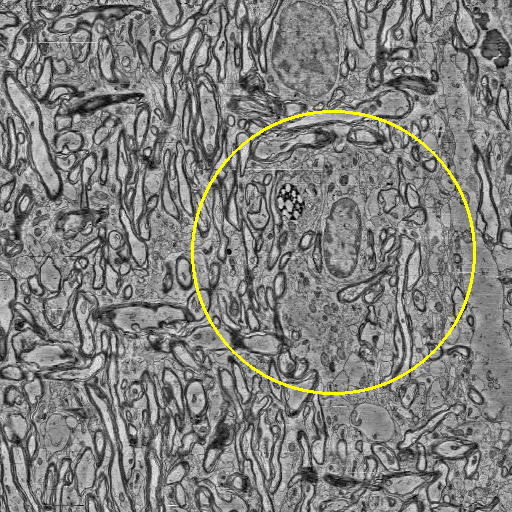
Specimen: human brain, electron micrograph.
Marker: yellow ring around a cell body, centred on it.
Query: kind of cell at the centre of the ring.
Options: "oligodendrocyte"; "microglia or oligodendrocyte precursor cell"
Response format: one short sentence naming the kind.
This cell body belongs to a microglial cell or oligodendrocyte precursor cell.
